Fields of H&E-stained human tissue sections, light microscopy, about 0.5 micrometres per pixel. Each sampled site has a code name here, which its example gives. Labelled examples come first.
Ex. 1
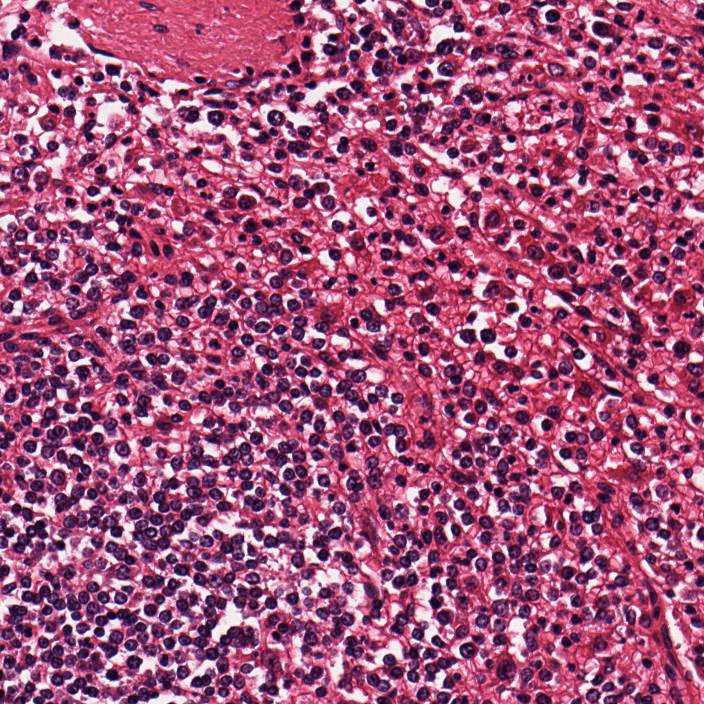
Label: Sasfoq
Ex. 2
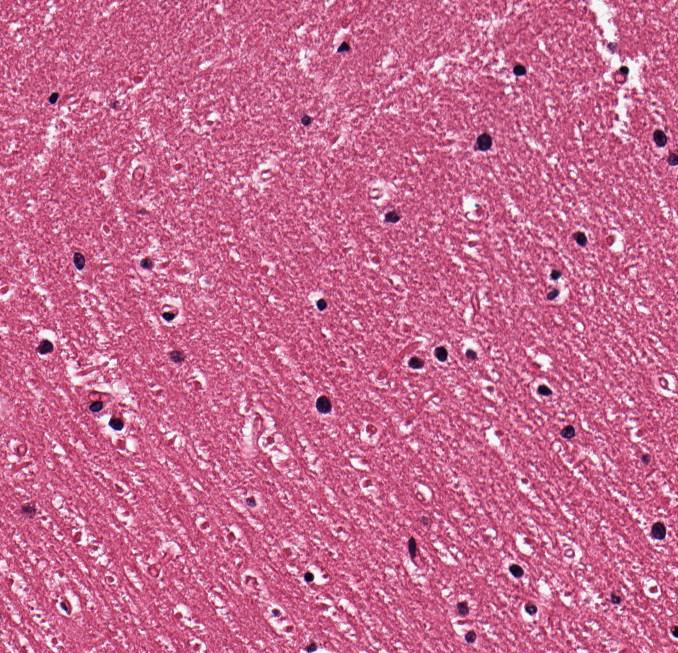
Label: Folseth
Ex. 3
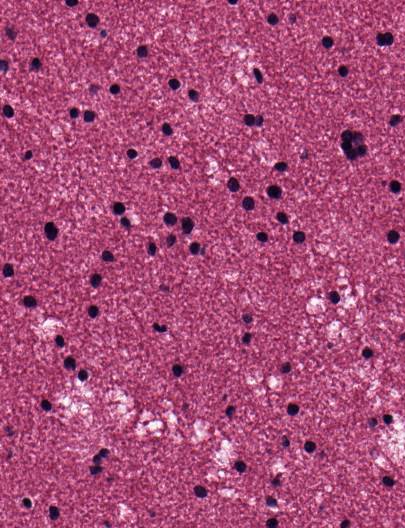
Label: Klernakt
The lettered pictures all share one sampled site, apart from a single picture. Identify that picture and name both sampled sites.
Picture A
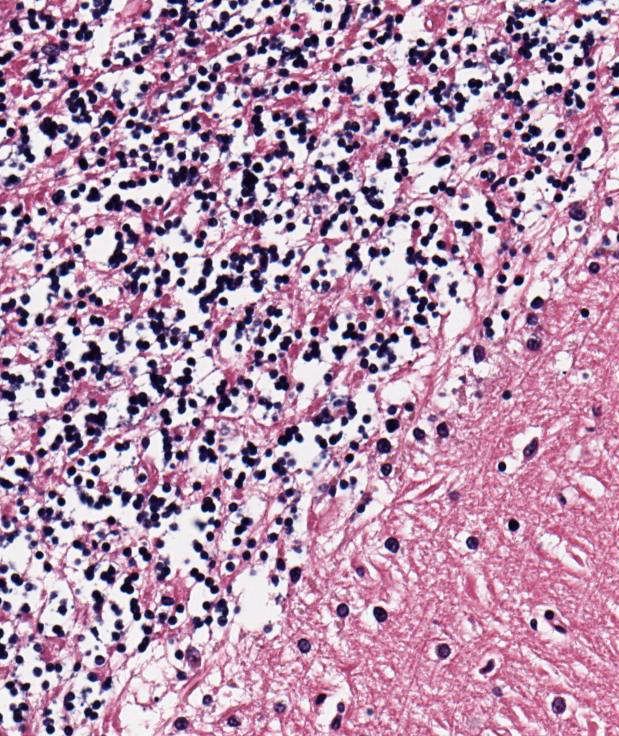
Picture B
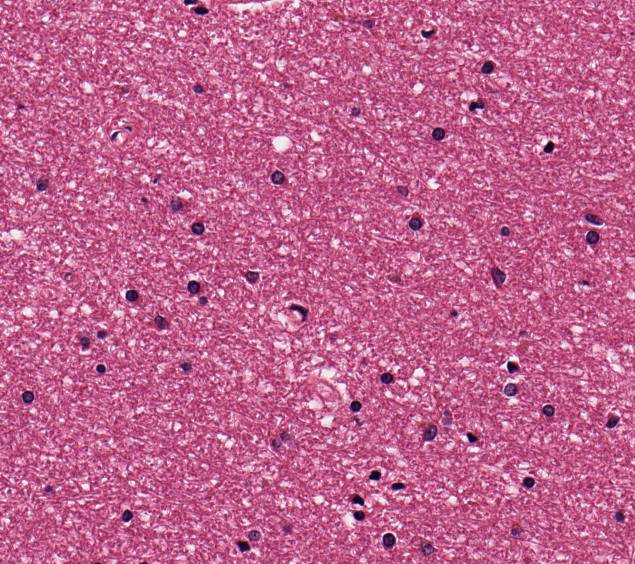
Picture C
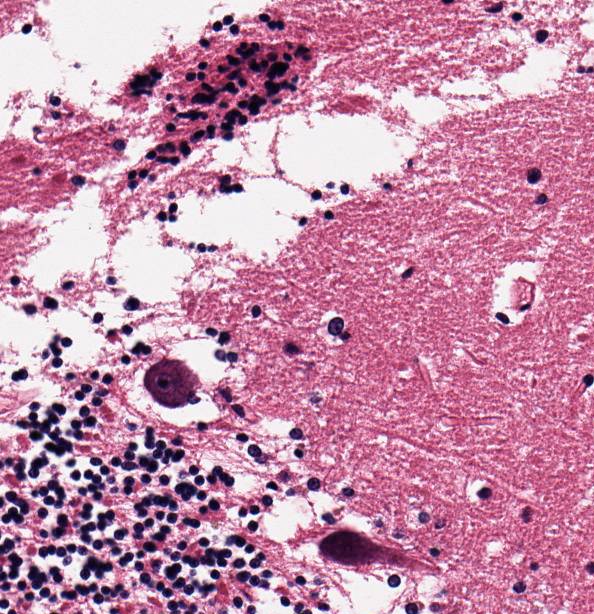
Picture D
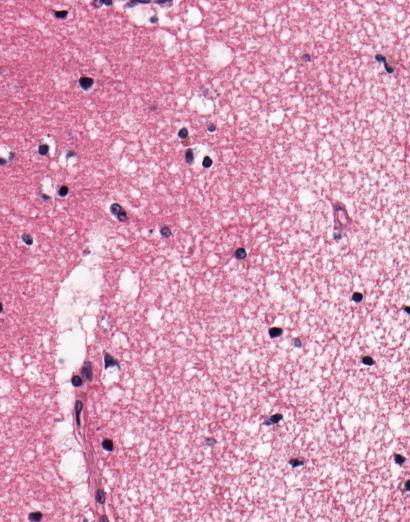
D differs and shows Klernakt; the others show Folseth.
